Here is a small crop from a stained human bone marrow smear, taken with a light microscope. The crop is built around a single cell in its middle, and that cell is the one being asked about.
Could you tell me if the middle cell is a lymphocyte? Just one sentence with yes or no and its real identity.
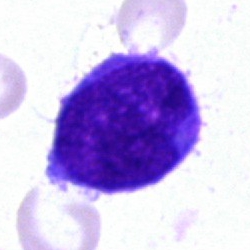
No, the centred cell is a blast instead of a lymphocyte.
